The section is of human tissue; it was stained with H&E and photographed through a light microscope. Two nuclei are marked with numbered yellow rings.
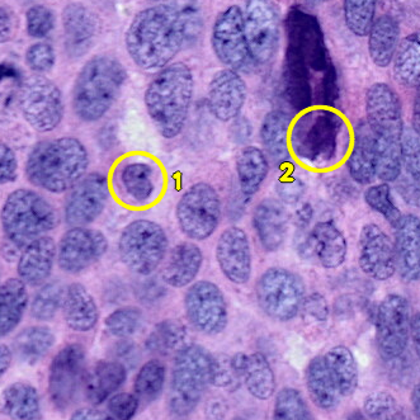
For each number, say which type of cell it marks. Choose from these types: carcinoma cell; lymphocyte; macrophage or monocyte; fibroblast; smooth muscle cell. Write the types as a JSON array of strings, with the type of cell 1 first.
["macrophage or monocyte", "carcinoma cell"]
